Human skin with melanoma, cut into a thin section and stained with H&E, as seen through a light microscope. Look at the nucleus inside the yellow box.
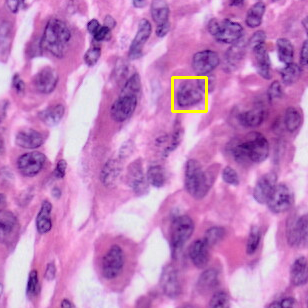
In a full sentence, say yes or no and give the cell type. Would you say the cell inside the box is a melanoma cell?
Yes, the cell inside the box represents a melanoma cell in this tissue.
